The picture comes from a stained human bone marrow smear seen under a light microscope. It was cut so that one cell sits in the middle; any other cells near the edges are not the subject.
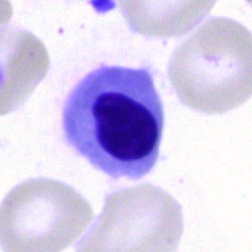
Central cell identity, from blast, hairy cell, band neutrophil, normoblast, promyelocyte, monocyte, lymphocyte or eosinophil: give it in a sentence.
Here the cell in the middle is a normoblast.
